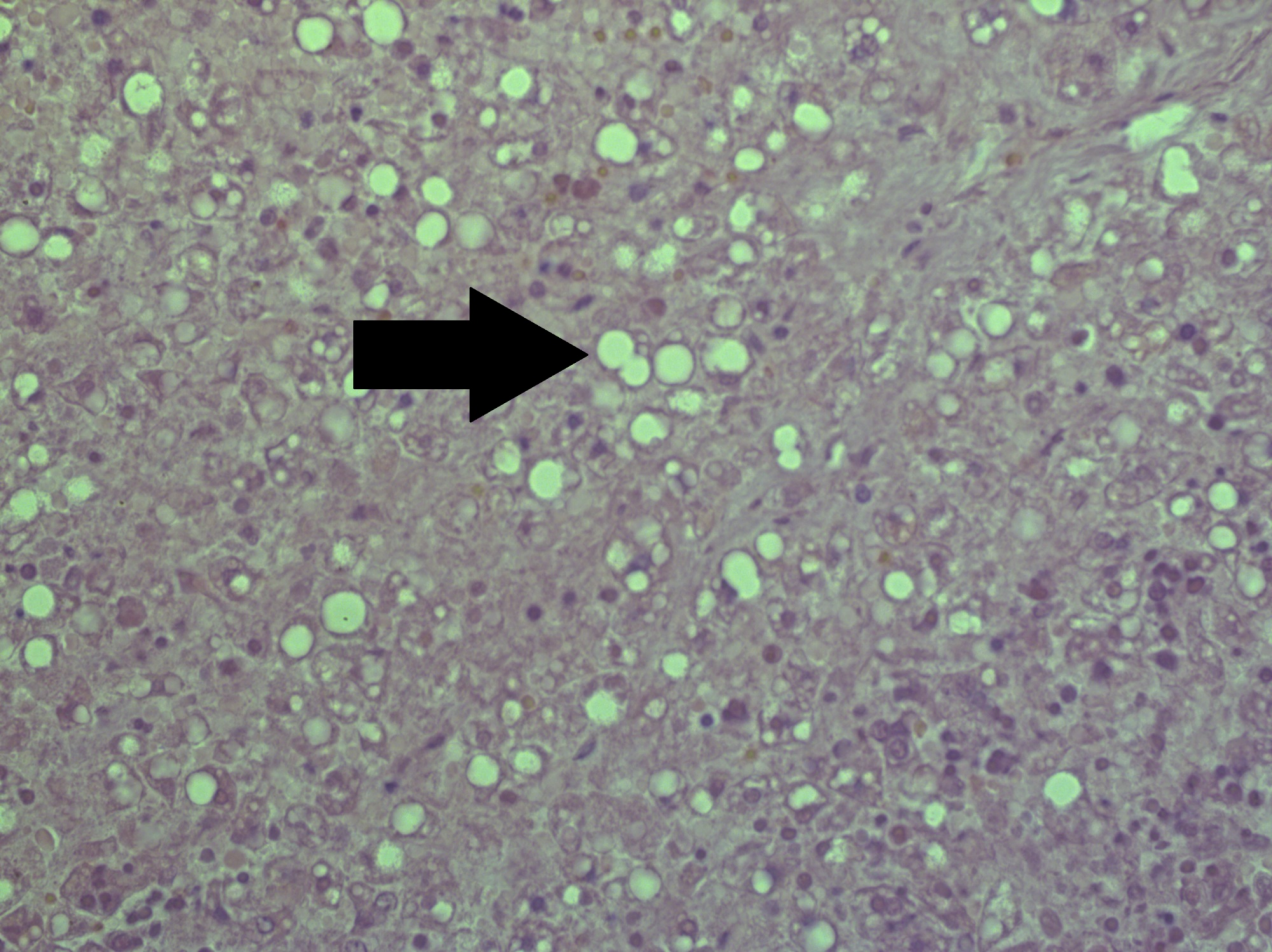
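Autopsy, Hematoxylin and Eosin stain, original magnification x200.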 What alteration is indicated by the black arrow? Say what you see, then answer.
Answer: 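Large, round, sharply outlined clear vacuoles lie within the cells at the arrow tip. Many such empty round vacuoles are scattered through the parenchyma. Individual vacuoles are about the size of a whole cell. So: Macrovesicular hepatosteatosis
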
